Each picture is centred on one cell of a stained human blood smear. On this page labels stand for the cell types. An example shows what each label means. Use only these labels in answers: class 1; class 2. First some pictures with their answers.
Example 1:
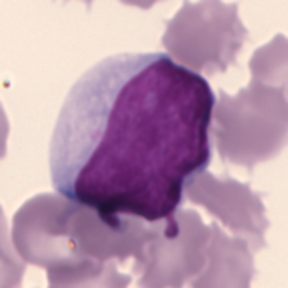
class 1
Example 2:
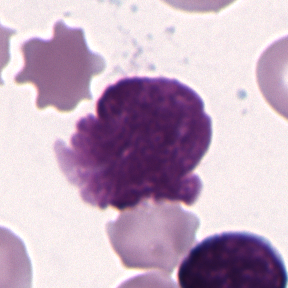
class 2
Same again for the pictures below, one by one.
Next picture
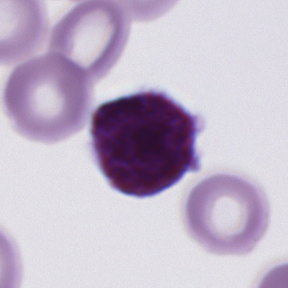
class 1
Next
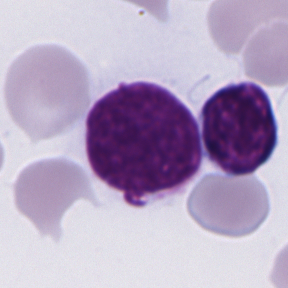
class 1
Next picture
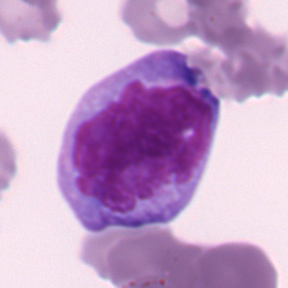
class 1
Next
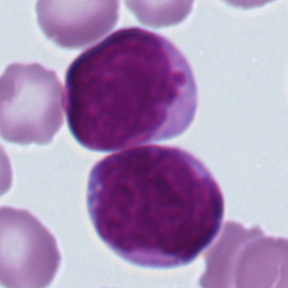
class 1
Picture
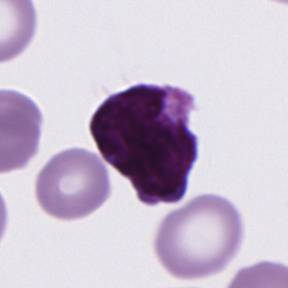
class 1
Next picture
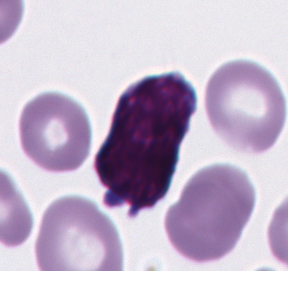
class 1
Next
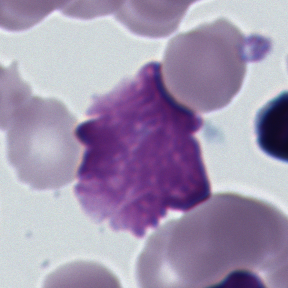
class 2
